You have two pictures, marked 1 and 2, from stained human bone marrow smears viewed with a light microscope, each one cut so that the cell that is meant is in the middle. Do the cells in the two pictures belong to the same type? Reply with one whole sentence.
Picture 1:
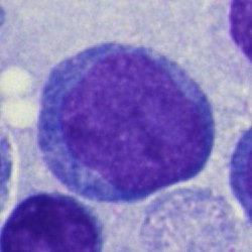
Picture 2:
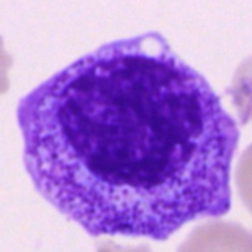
No; the cell in picture 1 is a blast, while the one in picture 2 is a promyelocyte.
